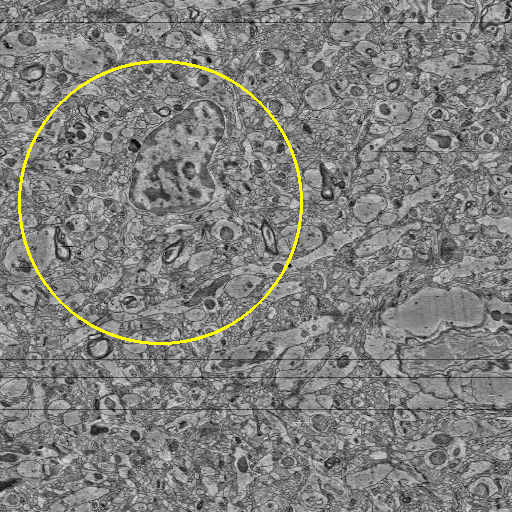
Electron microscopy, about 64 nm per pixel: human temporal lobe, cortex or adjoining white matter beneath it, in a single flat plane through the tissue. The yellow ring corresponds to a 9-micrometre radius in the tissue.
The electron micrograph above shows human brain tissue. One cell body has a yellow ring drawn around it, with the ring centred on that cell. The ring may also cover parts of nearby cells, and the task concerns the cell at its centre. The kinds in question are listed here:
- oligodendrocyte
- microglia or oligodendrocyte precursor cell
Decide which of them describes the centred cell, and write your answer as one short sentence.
The centred cell is a microglial cell or oligodendrocyte precursor cell.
